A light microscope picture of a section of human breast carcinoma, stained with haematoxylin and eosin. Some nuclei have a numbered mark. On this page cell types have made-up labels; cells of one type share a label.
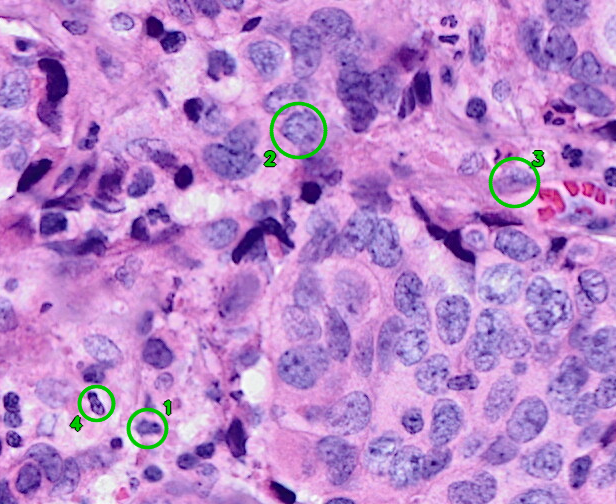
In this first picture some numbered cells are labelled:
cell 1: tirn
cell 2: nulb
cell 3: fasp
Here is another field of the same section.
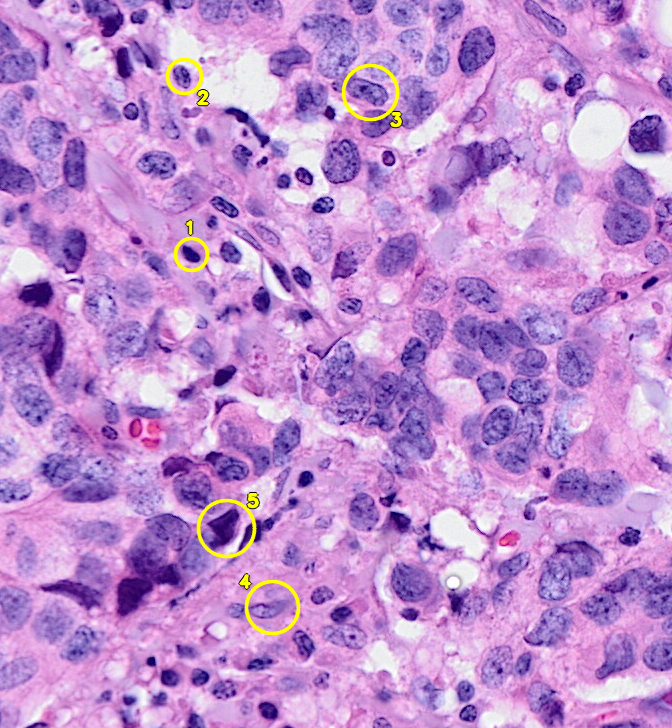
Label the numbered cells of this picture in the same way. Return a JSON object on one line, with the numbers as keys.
{"1": "tirn", "2": "tirn", "3": "nulb", "4": "fasp", "5": "nulb"}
